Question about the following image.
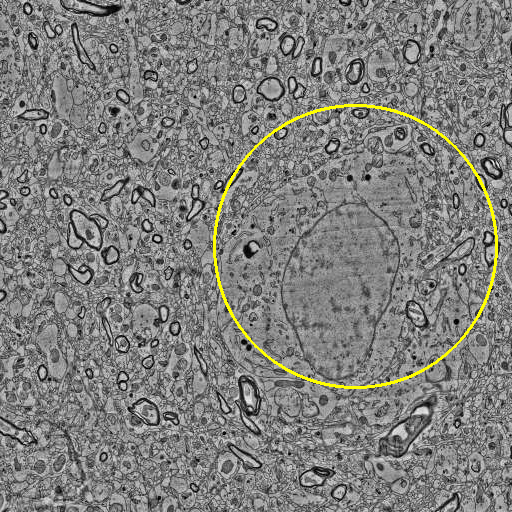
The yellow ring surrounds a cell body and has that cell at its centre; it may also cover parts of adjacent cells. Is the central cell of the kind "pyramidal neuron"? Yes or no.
Yes, it is of that kind.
